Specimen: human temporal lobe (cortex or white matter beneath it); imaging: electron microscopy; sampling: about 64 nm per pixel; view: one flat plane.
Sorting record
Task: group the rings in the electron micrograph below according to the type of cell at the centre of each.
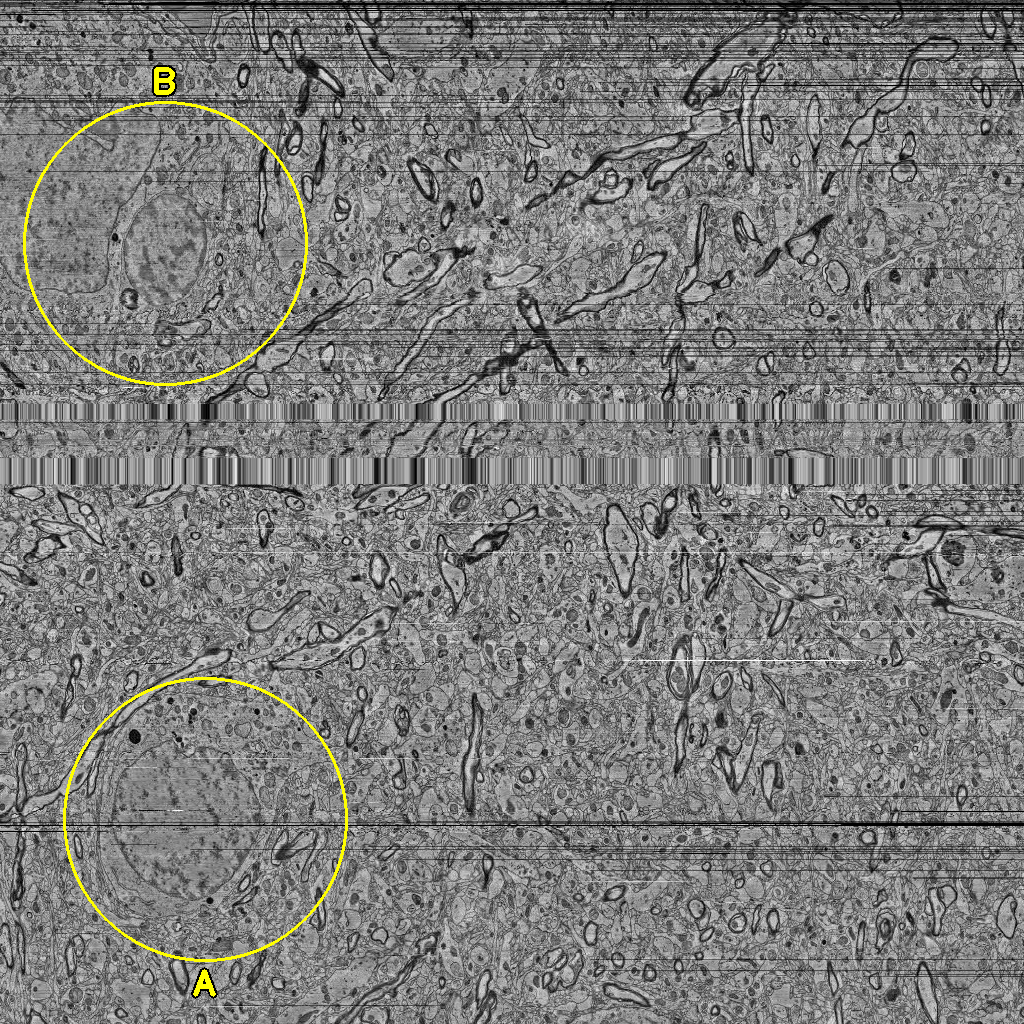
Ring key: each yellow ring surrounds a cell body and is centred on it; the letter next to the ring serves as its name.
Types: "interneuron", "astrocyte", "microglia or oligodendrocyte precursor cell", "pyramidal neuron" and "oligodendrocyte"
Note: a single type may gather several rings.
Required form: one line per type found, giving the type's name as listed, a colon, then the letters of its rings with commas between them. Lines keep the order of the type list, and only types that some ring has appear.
interneuron: A
oligodendrocyte: B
